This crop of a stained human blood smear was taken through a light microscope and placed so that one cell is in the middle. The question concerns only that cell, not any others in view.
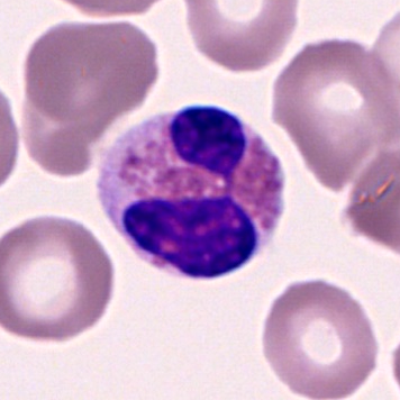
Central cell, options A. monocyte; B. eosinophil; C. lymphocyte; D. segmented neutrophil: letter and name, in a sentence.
According to option B, which is correct, the cell in the middle is an eosinophil.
